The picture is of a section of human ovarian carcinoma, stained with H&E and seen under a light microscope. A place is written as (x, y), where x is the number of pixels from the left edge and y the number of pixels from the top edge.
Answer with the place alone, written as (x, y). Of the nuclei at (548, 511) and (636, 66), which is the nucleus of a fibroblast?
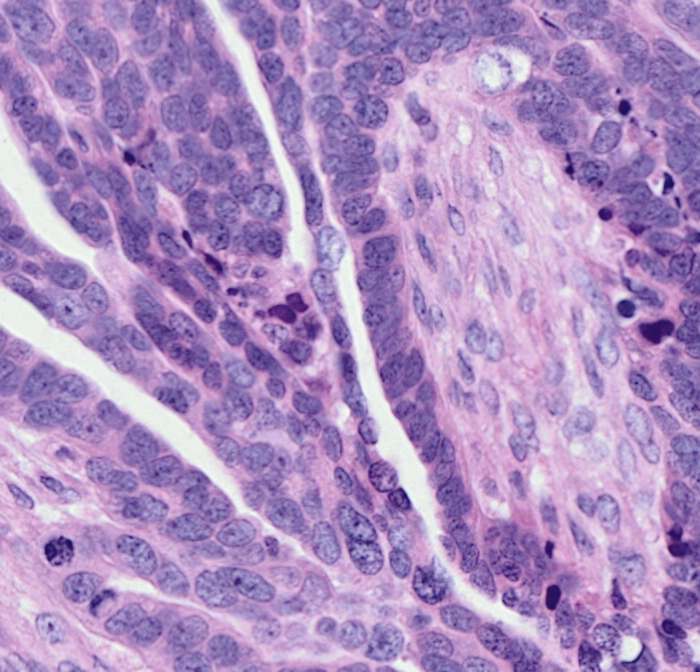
(548, 511)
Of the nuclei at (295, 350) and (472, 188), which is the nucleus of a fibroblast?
(472, 188)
